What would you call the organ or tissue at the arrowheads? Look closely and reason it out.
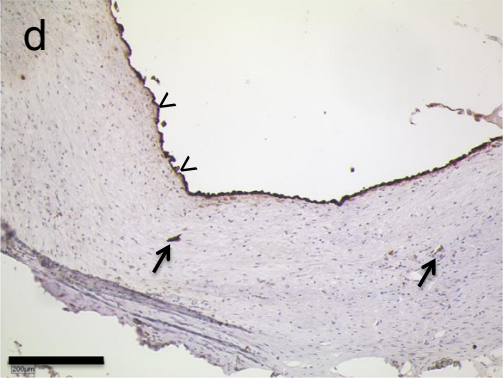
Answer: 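Endothelium. A continuous dark brown cell layer covers the free surface. The arrowheads point to this surface layer.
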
